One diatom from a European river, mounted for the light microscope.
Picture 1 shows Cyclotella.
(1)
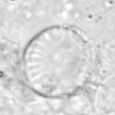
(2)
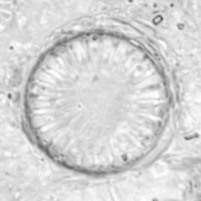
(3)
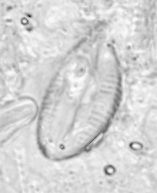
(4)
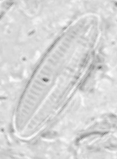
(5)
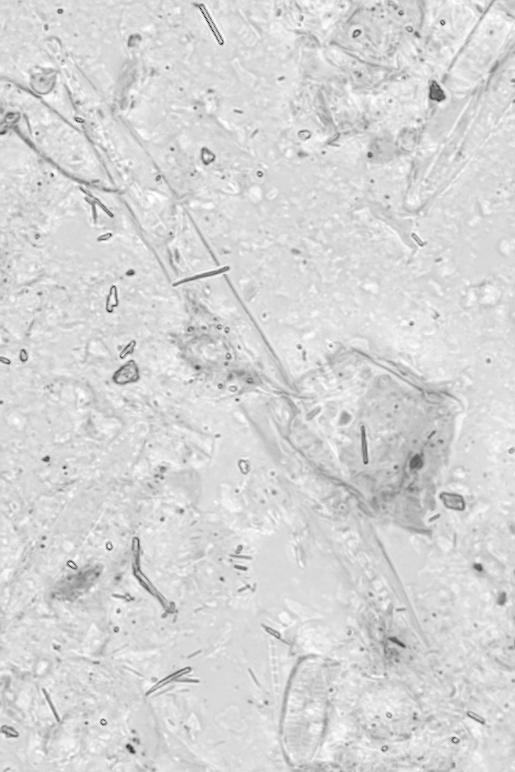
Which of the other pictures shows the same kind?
Picture 2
